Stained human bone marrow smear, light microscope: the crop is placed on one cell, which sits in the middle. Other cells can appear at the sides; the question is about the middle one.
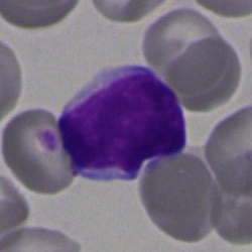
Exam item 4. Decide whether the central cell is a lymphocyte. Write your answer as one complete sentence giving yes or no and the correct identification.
Yes, a lymphocyte occupies the middle of the crop.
